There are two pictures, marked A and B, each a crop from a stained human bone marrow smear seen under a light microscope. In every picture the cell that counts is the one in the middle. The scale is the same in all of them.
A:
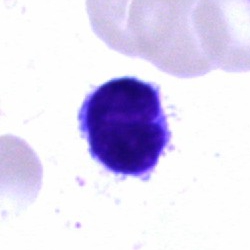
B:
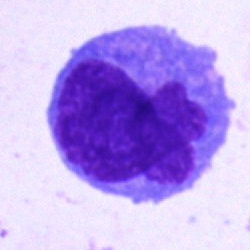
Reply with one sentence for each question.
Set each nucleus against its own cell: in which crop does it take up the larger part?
It is the cell in crop A that is filled more by its nucleus.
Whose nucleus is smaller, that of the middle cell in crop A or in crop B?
The nucleus in crop A is smaller; the one in crop B has about 2.5 times its area.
